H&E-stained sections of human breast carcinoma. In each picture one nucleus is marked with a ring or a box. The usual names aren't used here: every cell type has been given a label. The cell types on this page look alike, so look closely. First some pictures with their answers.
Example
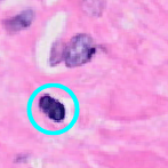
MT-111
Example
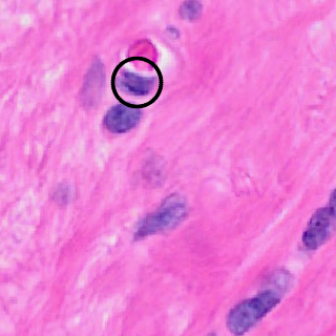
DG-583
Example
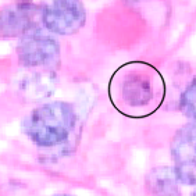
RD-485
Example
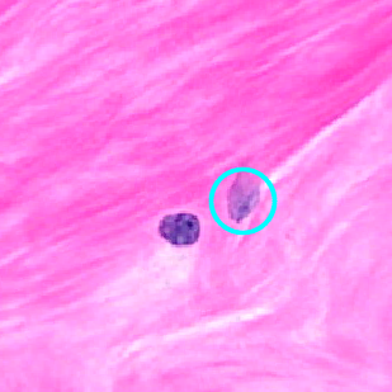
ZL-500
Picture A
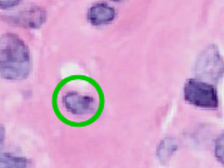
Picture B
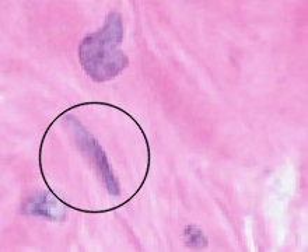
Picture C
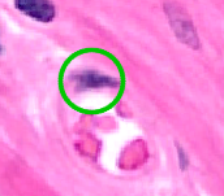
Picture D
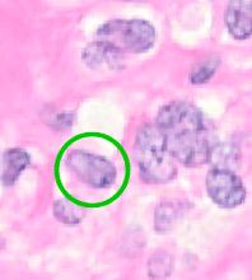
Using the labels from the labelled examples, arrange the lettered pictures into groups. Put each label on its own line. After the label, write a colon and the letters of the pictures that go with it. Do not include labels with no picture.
DG-583: A, C
RD-485: D
ZL-500: B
